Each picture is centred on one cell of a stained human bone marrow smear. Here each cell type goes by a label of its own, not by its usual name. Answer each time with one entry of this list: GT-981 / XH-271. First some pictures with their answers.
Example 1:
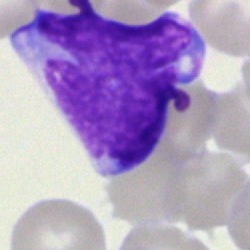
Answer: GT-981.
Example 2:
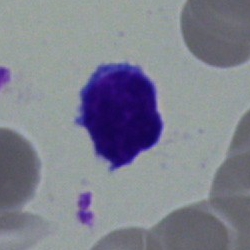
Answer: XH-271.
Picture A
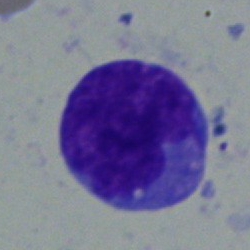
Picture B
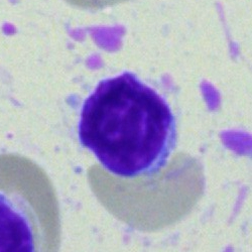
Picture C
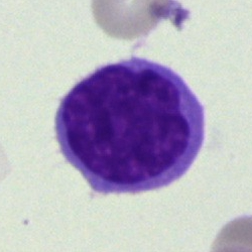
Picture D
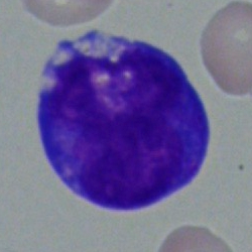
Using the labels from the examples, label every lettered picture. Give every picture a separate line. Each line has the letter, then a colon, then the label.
A: GT-981.
B: XH-271.
C: GT-981.
D: GT-981.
